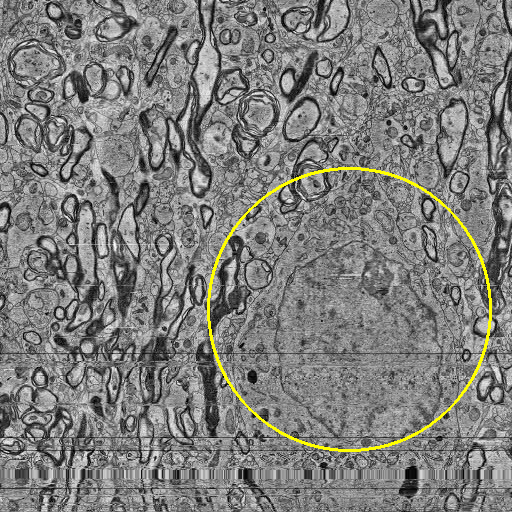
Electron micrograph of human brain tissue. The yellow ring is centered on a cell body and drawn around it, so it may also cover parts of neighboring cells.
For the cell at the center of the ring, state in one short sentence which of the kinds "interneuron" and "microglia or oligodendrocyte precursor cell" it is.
This ring is centered on an interneuron.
